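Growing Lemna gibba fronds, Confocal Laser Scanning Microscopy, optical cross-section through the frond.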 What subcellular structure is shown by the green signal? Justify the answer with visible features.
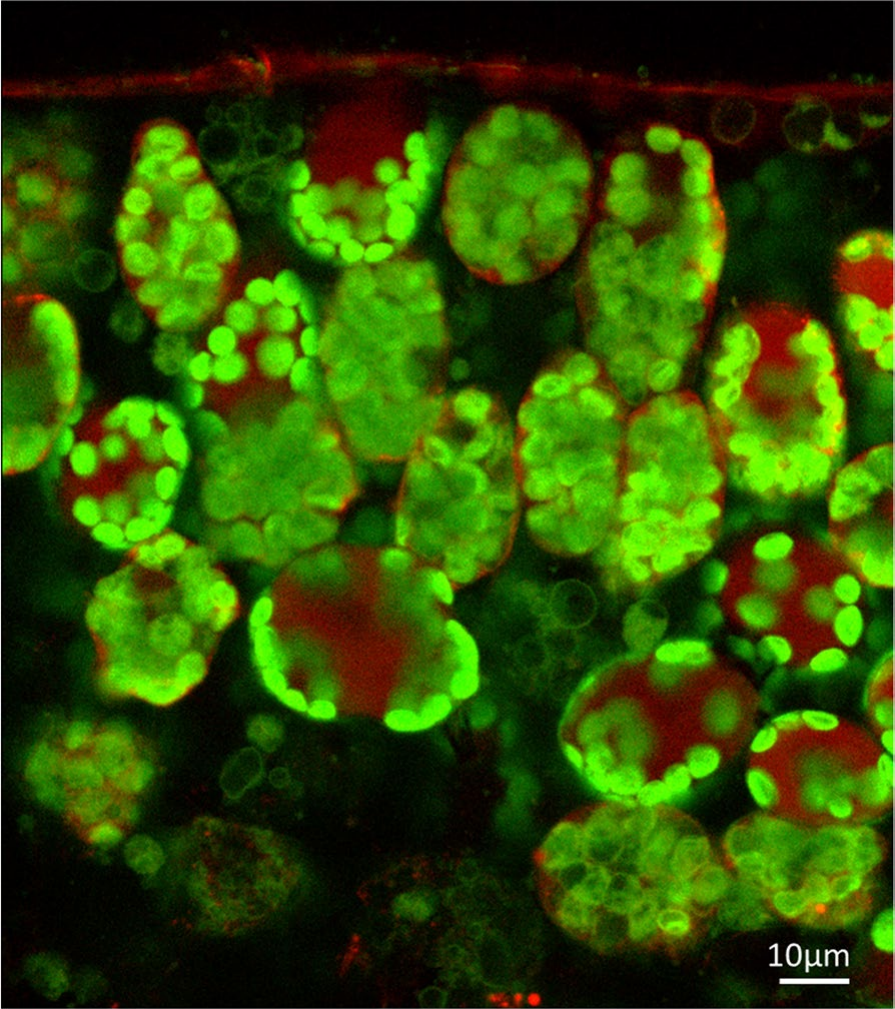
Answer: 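The green bodies are a few micrometres across, small against the 10 µm scale bar. In several cells the green bodies line the cell periphery.
Answer: chloroplasts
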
